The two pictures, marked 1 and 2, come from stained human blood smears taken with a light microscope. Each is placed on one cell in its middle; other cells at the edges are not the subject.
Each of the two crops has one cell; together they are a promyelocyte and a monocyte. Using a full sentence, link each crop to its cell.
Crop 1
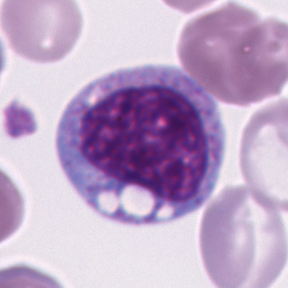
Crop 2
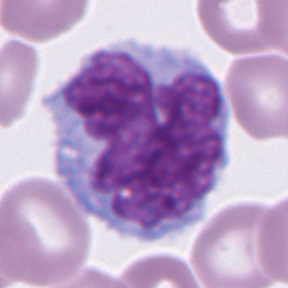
Crop 1 depicts a promyelocyte, and crop 2 depicts a monocyte.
